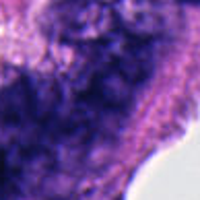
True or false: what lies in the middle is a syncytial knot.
True.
